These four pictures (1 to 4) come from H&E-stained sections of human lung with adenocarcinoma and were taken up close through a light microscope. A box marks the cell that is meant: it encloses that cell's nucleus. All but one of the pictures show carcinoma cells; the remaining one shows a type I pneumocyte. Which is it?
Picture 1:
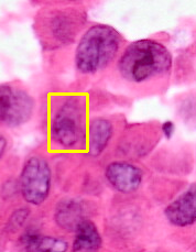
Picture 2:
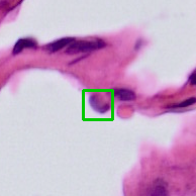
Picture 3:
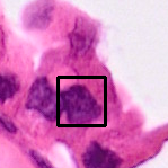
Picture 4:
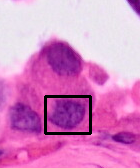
2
